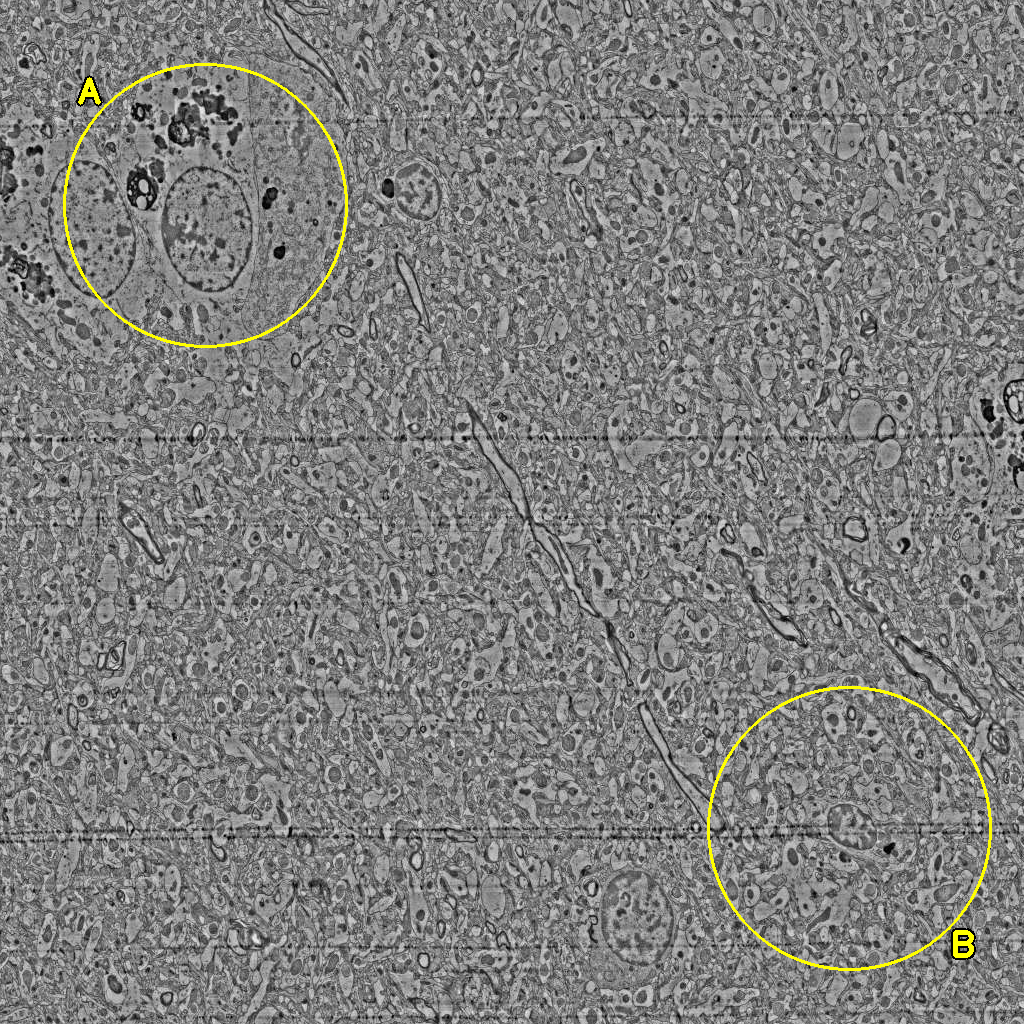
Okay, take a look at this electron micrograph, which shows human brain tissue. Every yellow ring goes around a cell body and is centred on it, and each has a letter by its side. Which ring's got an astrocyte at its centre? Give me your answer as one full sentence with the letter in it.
The one you're after is ring A, centred on the cell you asked about.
